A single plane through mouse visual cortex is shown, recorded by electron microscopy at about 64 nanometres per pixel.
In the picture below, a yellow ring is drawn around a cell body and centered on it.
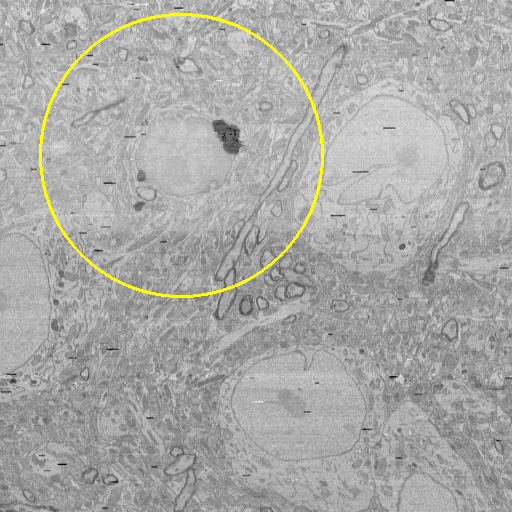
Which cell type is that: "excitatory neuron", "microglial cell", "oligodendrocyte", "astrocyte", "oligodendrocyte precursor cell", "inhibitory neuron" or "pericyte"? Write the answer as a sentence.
The cell centered in the ring is a microglial cell.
